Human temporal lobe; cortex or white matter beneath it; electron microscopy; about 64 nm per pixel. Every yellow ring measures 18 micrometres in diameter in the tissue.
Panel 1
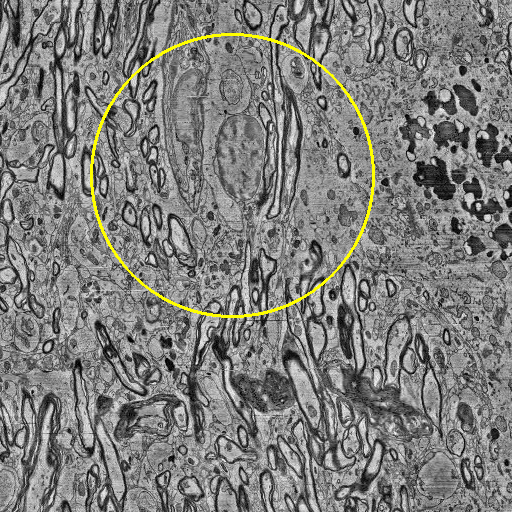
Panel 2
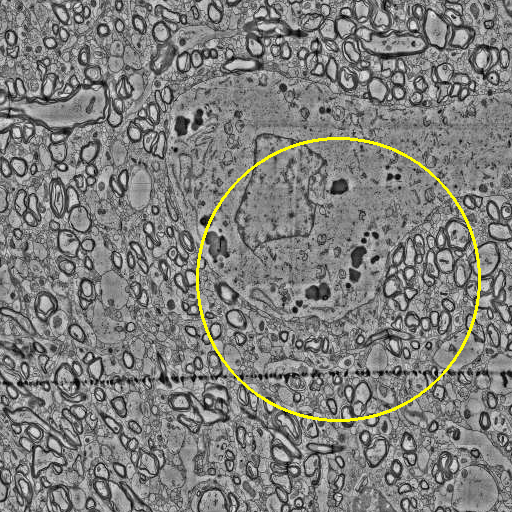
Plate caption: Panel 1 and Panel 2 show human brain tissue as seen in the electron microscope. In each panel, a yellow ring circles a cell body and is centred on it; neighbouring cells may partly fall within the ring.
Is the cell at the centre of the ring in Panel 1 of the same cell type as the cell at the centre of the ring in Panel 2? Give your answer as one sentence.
Yes, the two cells are of the same type.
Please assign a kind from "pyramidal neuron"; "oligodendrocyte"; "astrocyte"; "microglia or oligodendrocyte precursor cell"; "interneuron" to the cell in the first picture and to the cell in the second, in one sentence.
Both cells are the same kind, each one being a microglial cell or oligodendrocyte precursor cell.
